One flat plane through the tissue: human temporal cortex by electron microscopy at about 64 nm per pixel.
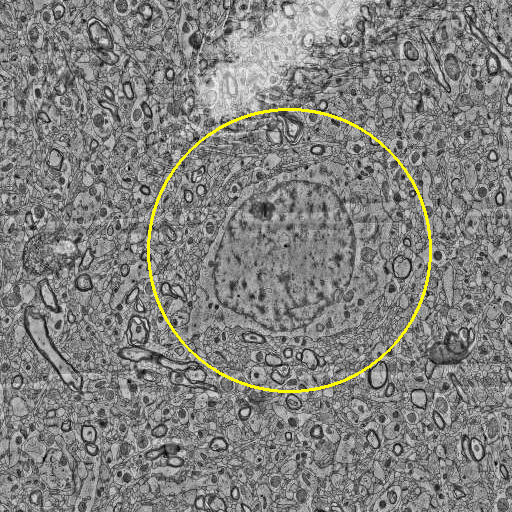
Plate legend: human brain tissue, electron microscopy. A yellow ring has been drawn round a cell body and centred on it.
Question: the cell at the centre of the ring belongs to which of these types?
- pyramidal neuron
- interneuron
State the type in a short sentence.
The cell in the middle of the ring is an interneuron.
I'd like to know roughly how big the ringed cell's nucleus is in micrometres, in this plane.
In this plane the nucleus is about 10 micrometres by 9.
